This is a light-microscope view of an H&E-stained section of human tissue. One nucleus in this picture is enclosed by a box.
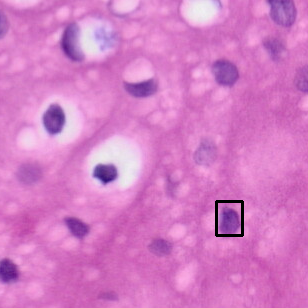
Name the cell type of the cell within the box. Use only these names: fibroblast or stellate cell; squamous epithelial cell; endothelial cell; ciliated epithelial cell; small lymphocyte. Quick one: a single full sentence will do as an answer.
In short, the cell within the box on this section is a squamous epithelial cell.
